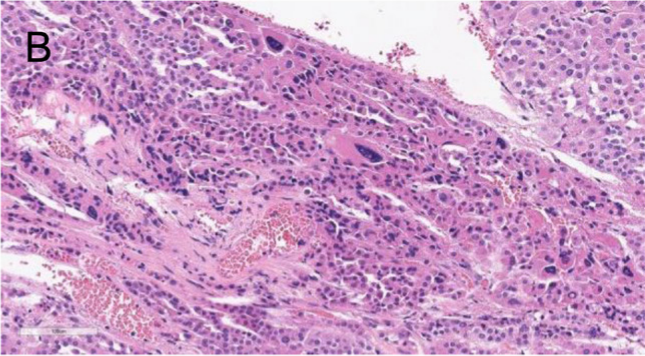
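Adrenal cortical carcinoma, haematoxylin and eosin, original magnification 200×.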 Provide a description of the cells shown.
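Tumour of epithelioid cells arranged in broad trabeculae, separated by thin-walled vessels holding red blood cells. Cells are polygonal with moderate pink cytoplasm. Nuclei vary markedly in size and shape, with scattered greatly enlarged, dark-staining nuclei among smaller ones.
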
